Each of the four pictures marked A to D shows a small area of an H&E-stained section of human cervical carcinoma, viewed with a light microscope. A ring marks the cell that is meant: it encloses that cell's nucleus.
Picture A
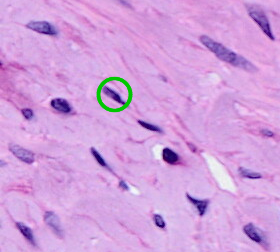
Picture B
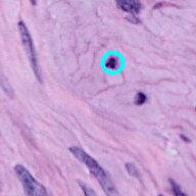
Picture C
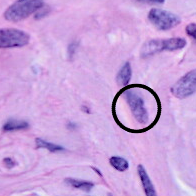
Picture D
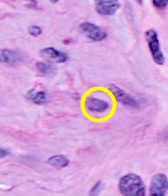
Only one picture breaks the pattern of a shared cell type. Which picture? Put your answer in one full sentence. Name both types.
The others show fibroblasts, but picture D shows a smooth muscle cell.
